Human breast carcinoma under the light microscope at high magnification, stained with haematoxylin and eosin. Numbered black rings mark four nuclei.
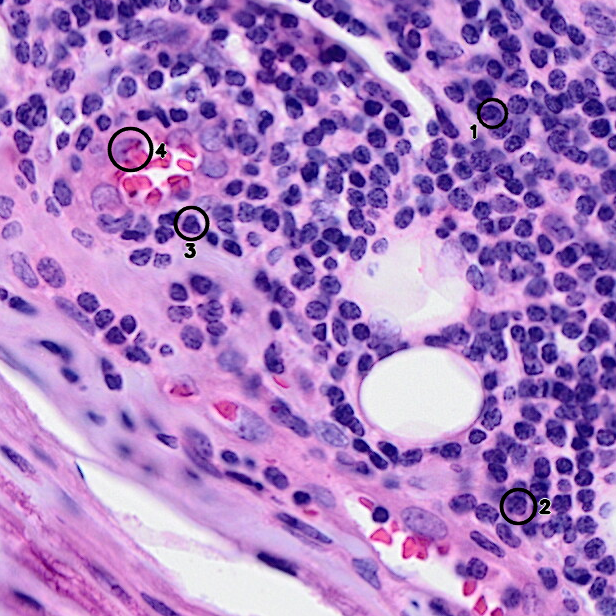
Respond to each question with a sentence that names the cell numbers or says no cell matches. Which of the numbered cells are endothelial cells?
Only number 4 is an endothelial cell; none of the others are.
